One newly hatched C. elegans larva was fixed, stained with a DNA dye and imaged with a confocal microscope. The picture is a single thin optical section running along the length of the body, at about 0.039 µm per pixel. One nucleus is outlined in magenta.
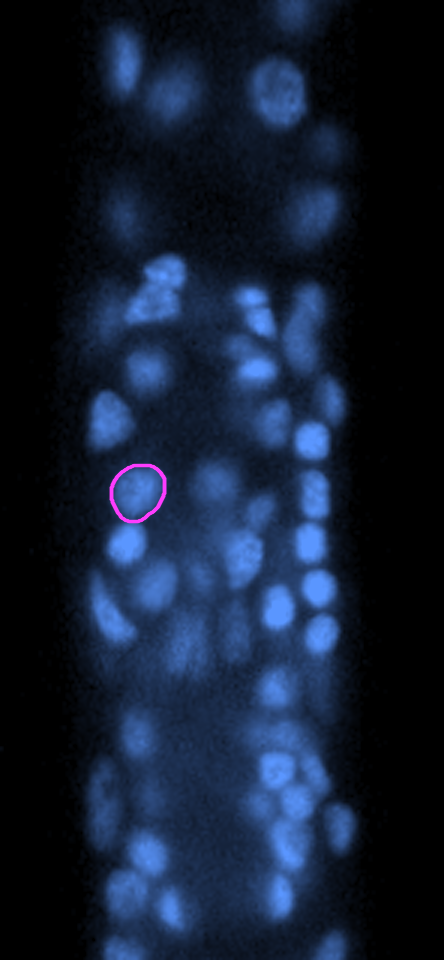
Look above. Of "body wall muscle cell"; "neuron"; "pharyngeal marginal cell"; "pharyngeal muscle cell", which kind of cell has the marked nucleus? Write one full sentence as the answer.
It is the nucleus of a pharyngeal muscle cell.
